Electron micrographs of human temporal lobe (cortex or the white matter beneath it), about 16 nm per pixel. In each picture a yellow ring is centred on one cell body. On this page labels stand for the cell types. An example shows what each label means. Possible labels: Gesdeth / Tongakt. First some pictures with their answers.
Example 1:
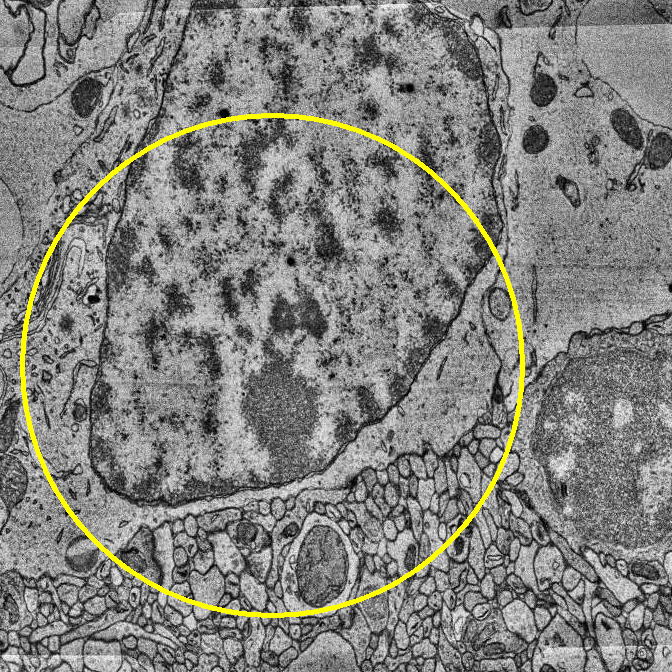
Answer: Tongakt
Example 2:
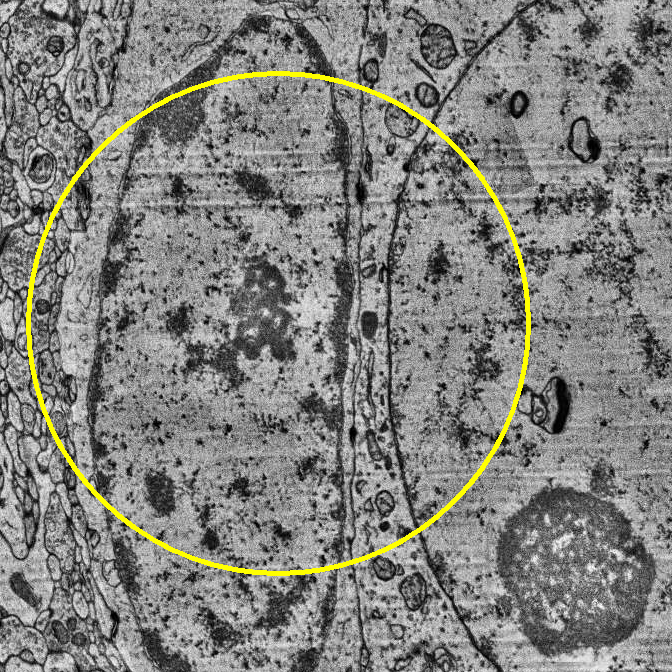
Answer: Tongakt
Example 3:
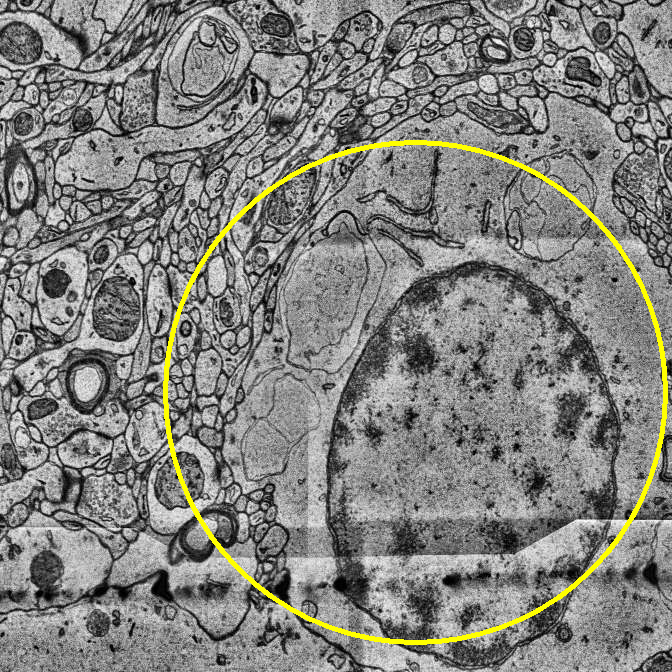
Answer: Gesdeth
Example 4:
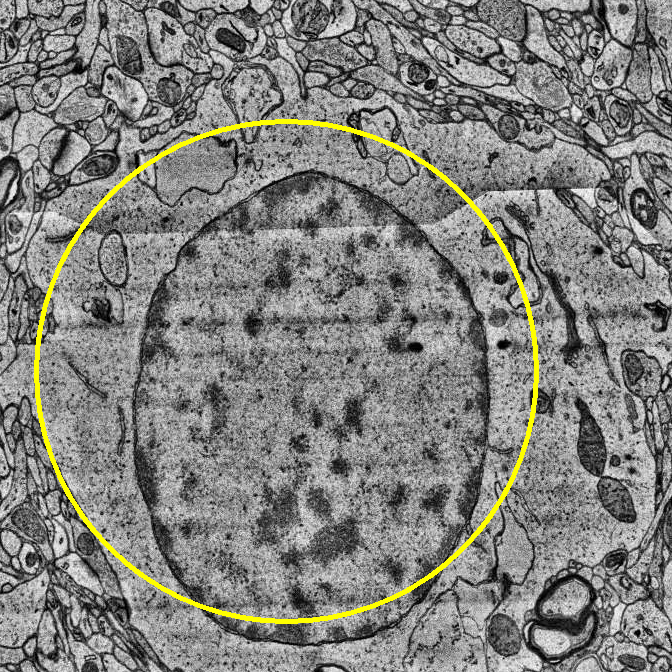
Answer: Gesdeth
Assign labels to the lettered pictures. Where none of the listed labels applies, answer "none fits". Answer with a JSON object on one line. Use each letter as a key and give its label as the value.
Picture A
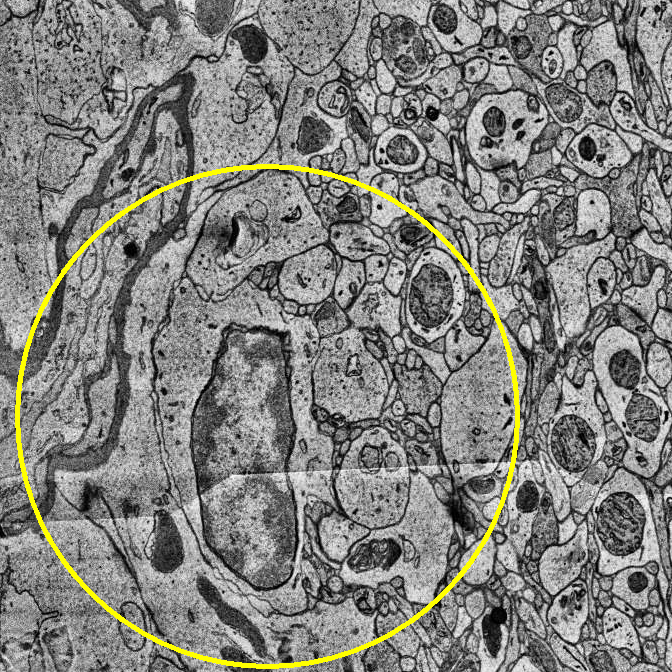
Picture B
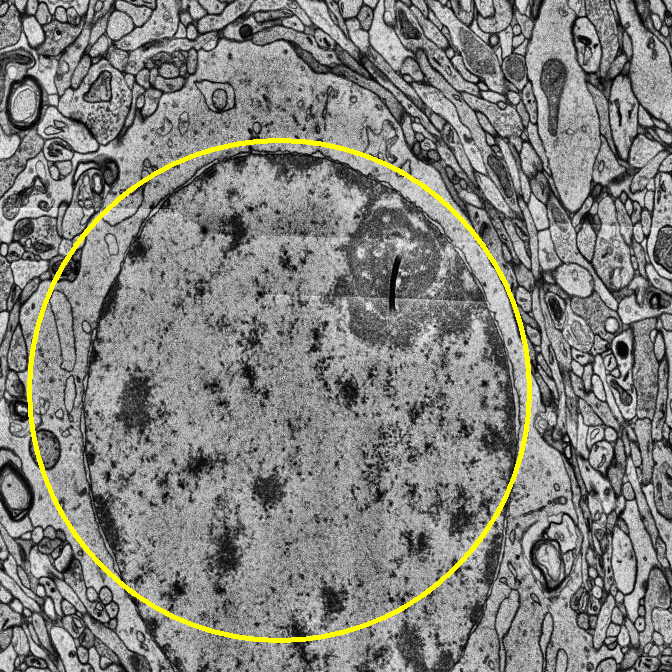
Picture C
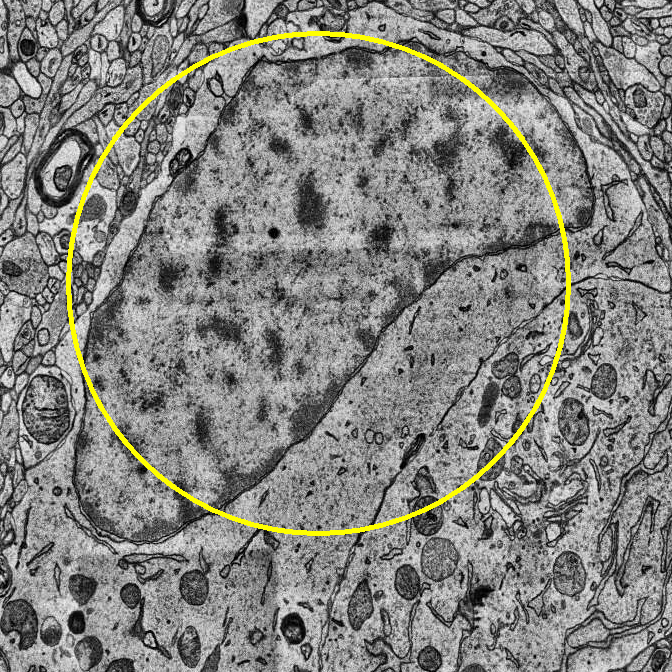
{"A": "Tongakt", "B": "Gesdeth", "C": "Tongakt"}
